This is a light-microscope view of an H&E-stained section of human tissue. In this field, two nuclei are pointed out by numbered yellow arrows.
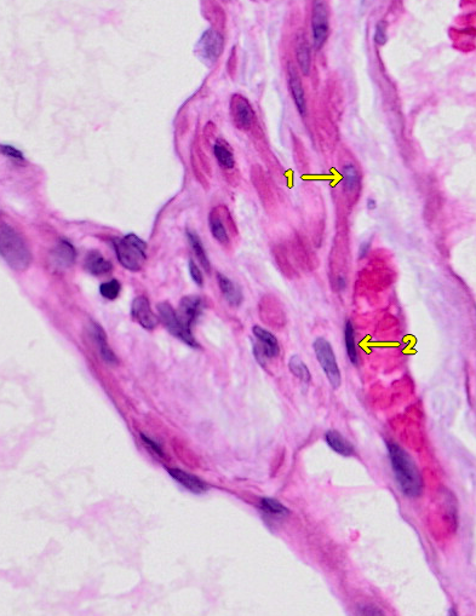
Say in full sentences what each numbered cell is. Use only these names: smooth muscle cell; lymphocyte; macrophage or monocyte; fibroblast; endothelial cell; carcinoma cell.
Cell 1 is a smooth muscle cell and cell 2 is an endothelial cell.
